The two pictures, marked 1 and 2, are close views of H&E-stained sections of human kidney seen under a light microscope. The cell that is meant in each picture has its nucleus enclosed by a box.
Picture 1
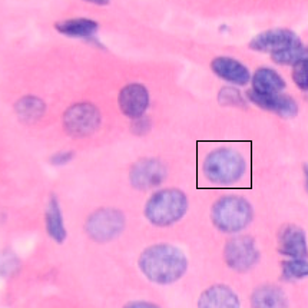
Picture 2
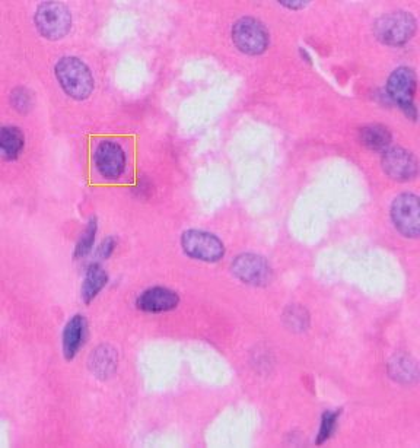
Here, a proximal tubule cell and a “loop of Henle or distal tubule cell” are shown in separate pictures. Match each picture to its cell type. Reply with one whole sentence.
It is picture 1 that shows a “loop of Henle or distal tubule cell”, and picture 2 that shows a proximal tubule cell.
